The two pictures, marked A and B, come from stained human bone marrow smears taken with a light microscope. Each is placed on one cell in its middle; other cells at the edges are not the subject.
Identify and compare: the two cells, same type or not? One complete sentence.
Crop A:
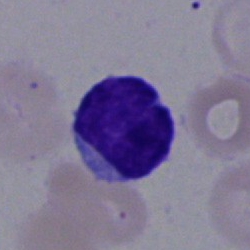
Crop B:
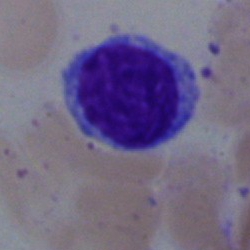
Yes, both of the crops in this pair show lymphocytes, one cell in each crop.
